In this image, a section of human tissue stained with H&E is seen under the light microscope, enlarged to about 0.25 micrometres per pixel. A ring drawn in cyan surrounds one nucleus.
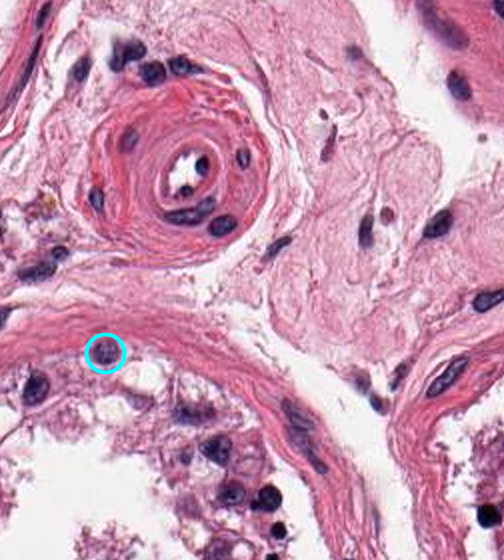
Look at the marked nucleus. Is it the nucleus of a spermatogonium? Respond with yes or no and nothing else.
yes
